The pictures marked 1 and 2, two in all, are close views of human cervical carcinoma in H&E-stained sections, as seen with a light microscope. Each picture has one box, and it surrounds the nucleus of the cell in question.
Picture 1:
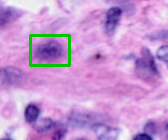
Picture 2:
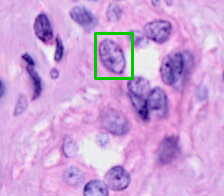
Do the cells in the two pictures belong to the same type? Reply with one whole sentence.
Yes, both cells are endothelial cells.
